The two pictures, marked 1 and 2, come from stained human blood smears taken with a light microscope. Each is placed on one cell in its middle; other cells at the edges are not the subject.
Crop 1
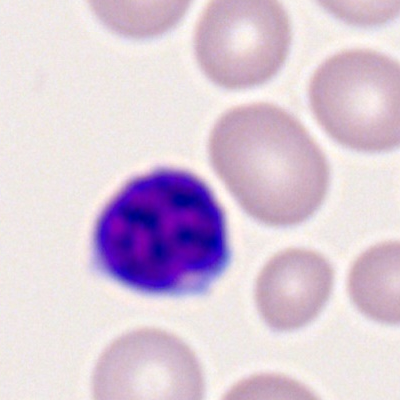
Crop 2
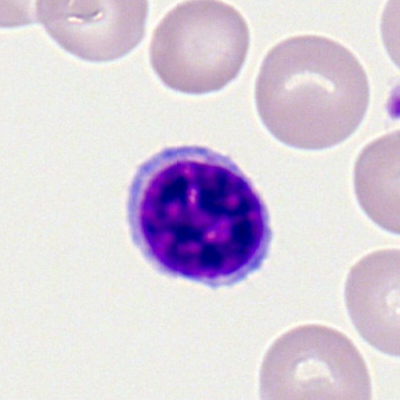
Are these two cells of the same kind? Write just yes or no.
yes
